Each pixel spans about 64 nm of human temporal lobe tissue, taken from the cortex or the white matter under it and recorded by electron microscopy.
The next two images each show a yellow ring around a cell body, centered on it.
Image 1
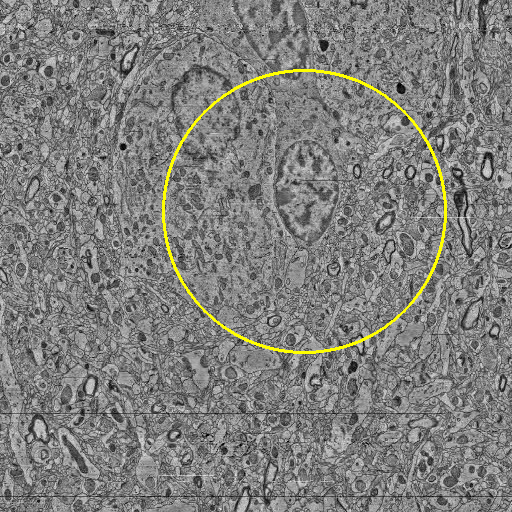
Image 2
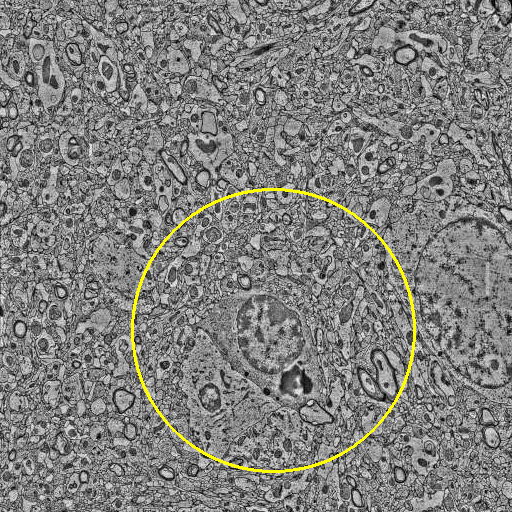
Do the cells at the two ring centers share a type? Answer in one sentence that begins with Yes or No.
Yes, across the two images the cells at the ring centers share one type.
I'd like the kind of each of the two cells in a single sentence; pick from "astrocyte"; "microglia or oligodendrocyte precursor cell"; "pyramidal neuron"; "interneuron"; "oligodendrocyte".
Each of the two rings is centred on an oligodendrocyte.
